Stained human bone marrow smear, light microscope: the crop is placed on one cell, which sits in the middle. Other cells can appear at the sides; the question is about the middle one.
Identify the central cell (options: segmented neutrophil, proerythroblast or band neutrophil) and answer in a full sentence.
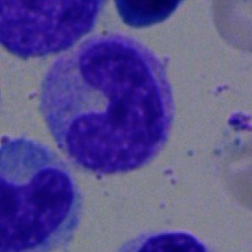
What sits at the centre of this crop is a band neutrophil.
